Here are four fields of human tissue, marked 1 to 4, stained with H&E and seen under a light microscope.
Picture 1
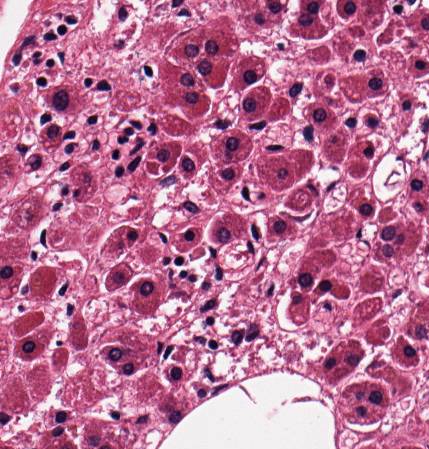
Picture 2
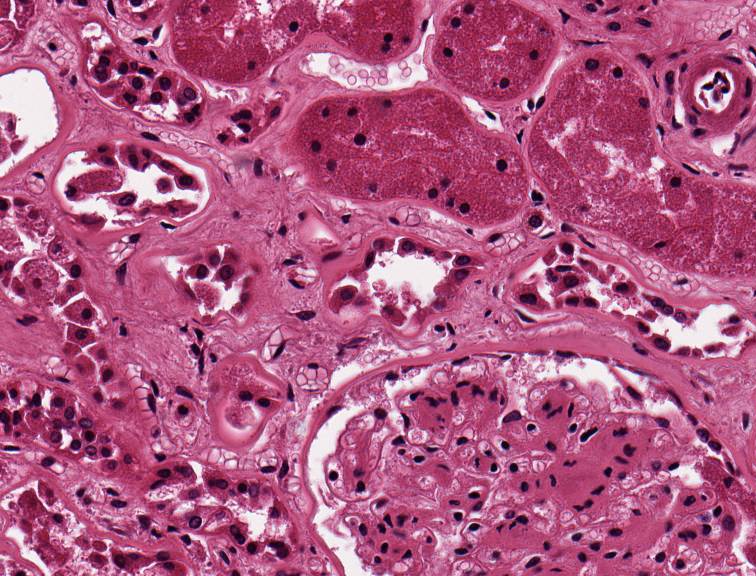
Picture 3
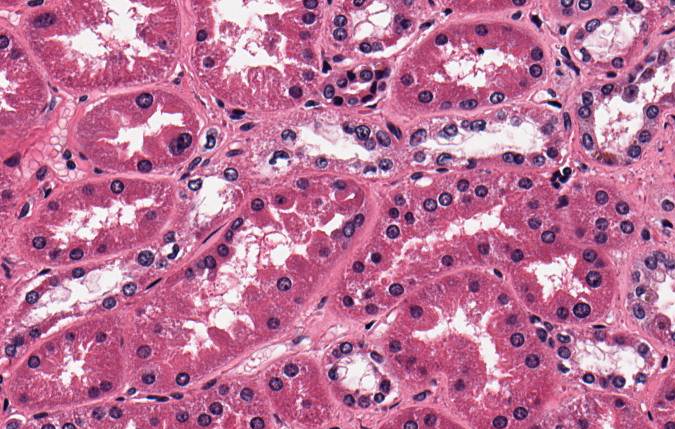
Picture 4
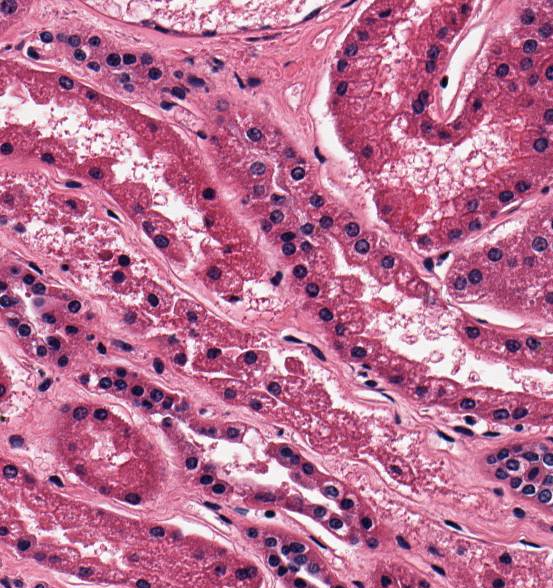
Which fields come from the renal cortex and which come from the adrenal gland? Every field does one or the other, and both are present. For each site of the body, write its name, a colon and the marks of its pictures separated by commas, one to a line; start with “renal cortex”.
renal cortex: 2, 3, 4
adrenal gland: 1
